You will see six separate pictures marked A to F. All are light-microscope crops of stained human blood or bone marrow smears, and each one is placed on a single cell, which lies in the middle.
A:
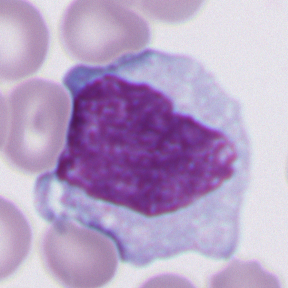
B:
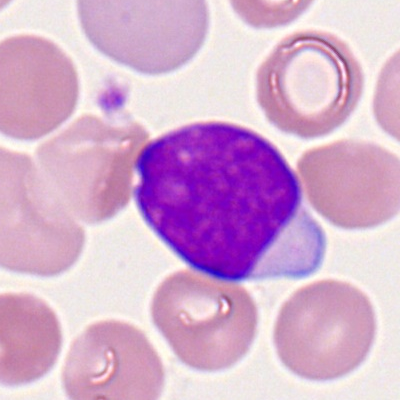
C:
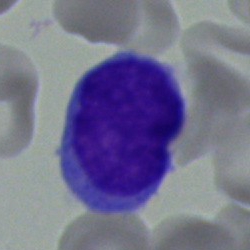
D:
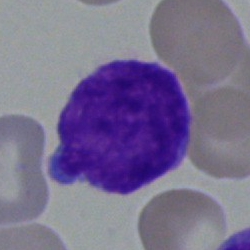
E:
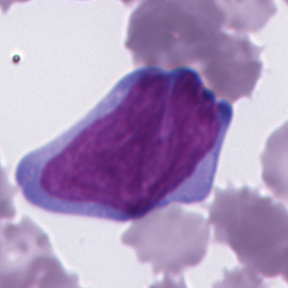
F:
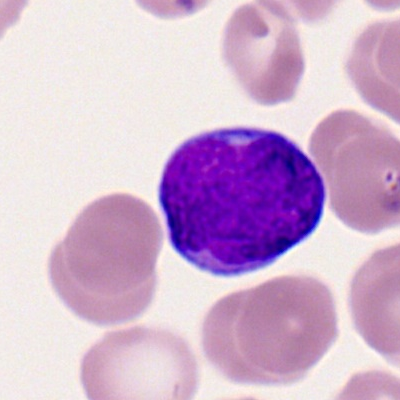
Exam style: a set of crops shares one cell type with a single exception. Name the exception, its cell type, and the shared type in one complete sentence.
Crop A differs: it is a monocyte, and all the other crops show blasts.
